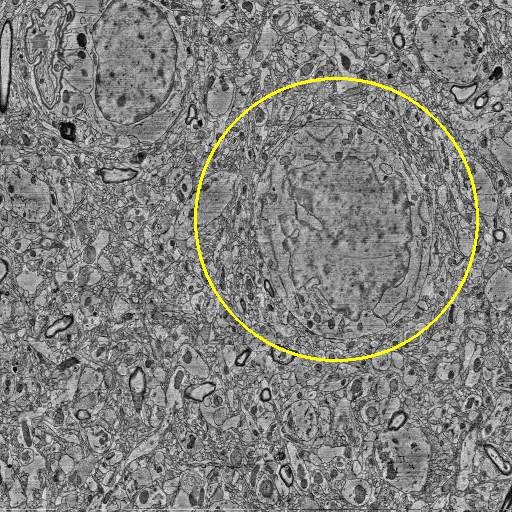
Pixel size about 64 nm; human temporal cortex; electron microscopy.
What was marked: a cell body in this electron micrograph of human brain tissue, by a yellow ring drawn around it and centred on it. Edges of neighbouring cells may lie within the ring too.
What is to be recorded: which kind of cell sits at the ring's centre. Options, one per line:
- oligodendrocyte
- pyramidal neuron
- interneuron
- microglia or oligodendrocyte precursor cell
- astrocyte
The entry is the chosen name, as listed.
interneuron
